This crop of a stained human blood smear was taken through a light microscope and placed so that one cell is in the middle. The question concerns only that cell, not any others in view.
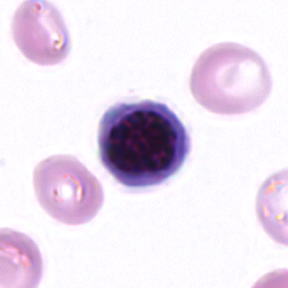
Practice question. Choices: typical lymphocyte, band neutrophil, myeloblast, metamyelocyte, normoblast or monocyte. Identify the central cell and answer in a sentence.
Centred in the crop is a normoblast.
